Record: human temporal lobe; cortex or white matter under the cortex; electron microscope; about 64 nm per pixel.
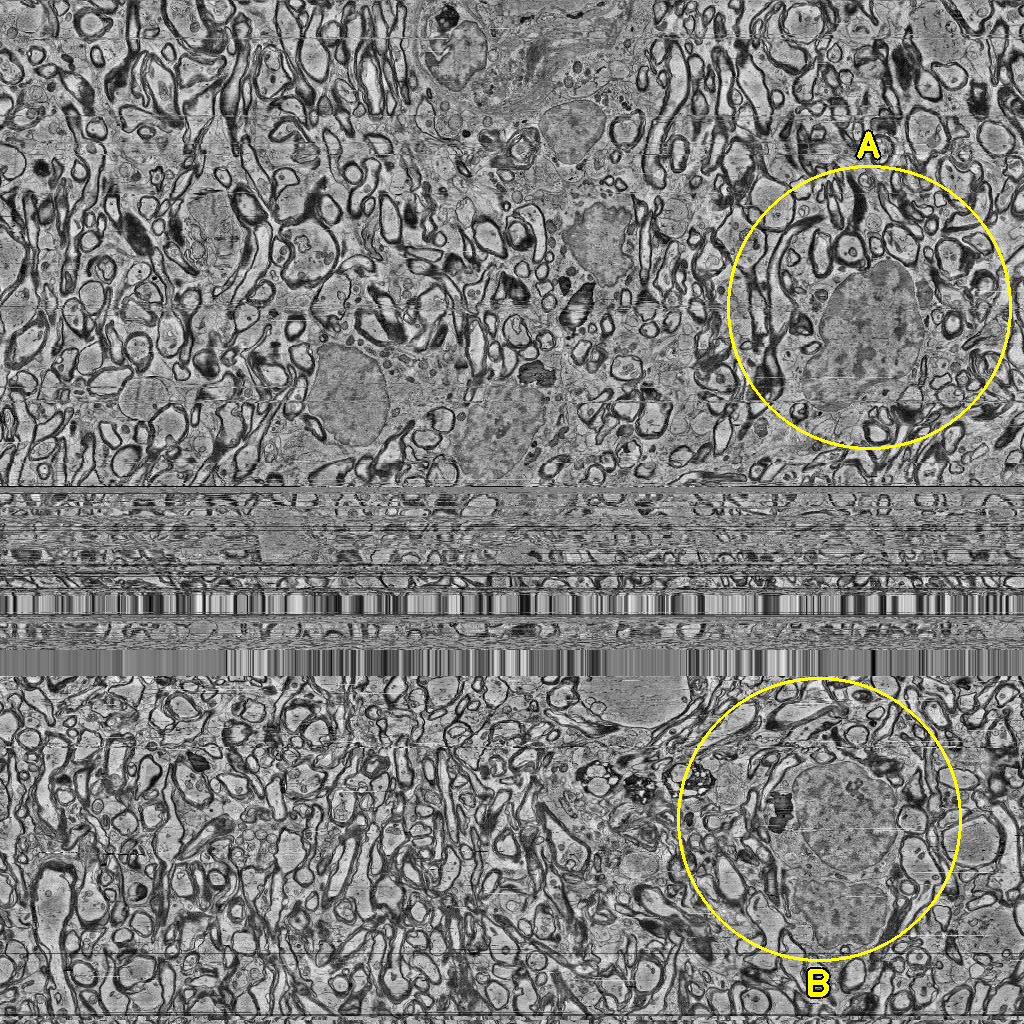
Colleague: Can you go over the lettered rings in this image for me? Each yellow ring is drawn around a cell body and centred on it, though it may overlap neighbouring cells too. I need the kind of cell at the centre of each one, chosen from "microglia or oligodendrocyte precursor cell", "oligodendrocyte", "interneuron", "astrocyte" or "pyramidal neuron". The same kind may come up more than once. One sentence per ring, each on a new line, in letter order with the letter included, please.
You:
Ring A marks the cell body of a microglial cell or oligodendrocyte precursor cell.
Ring B marks the cell body of an oligodendrocyte.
